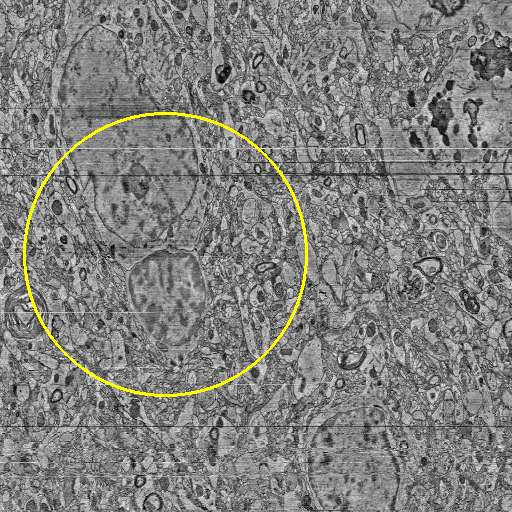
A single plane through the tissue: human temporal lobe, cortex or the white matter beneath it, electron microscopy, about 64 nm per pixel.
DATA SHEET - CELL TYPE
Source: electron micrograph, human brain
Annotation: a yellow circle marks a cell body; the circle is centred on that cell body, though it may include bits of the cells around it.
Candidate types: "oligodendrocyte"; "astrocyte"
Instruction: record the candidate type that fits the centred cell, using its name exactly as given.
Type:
oligodendrocyte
